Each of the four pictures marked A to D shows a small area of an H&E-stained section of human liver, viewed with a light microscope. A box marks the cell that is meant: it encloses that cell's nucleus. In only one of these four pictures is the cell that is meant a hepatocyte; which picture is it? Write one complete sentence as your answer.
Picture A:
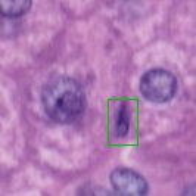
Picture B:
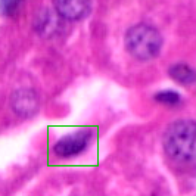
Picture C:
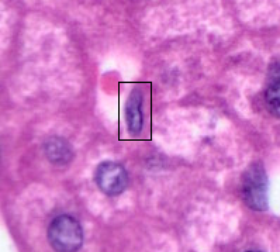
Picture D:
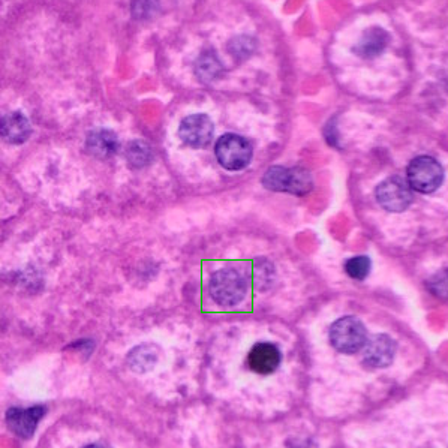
The hepatocyte is the one in picture D.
